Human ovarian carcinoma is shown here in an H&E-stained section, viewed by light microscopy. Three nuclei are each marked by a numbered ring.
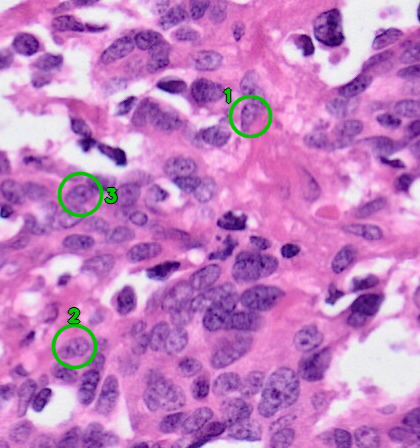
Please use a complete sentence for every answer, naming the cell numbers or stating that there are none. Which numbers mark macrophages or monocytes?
Only at number 1 is there a macrophage or monocyte.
